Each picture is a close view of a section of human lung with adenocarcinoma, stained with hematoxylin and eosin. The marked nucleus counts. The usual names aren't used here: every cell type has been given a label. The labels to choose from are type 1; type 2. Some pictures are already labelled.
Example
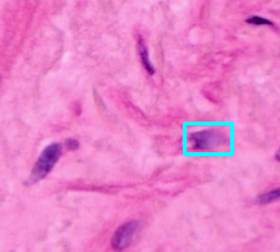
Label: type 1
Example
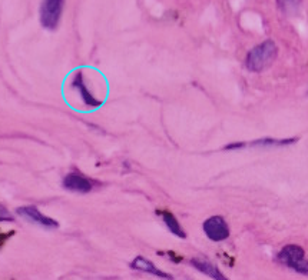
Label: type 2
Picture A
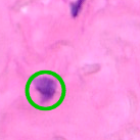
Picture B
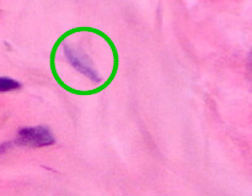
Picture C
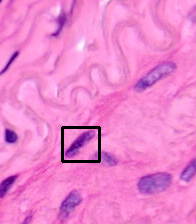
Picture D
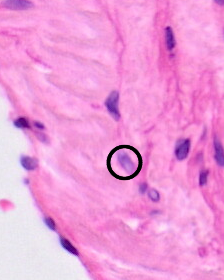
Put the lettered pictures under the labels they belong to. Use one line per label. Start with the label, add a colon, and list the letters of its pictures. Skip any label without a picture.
type 1: C, D
type 2: A, B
